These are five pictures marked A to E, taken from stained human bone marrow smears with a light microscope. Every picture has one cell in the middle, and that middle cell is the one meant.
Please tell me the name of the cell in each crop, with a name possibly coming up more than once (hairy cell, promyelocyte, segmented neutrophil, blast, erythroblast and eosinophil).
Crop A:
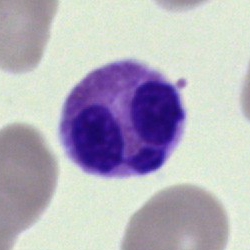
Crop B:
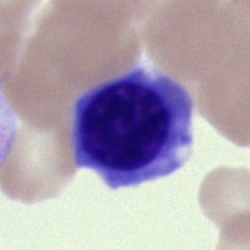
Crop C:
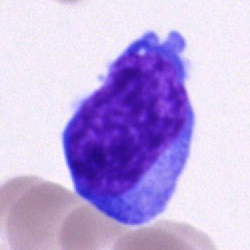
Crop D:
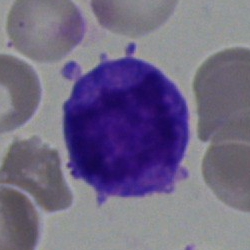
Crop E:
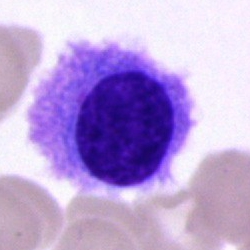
A: eosinophil
B: erythroblast
C: blast
D: promyelocyte
E: hairy cell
